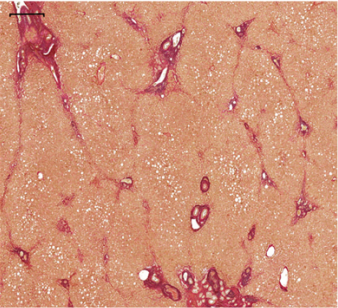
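Fibrotic liver at low magnification. The parenchyma stains orange-yellow and is dotted with many small, clear, round vacuoles. Thin red fibrous septa spread out from the portal tracts and link several of them across the parenchyma. The portal tracts hold open vessels and ducts surrounded by denser red collagen. The parenchyma is not yet split into separate, fully enclosed nodules.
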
